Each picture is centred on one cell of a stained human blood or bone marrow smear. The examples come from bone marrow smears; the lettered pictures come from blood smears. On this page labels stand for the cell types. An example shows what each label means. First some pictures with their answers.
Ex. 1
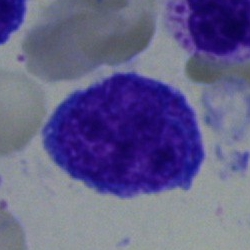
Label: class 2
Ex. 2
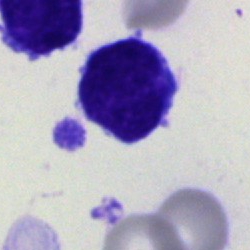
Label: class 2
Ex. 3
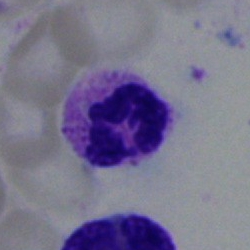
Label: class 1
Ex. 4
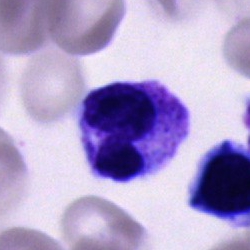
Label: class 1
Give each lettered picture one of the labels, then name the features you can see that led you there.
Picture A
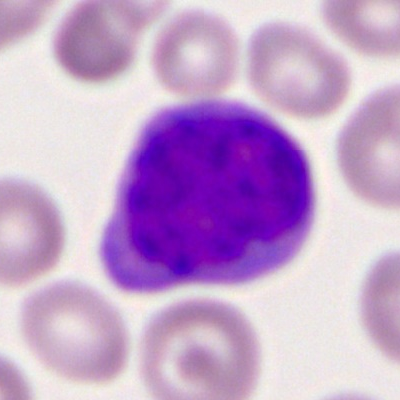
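class 2: The cytoplasm is scant and forms only a thin rim around most of the nucleus.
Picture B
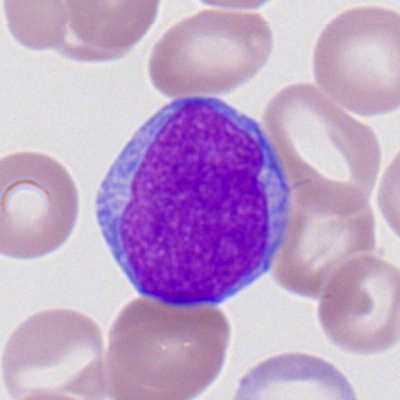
class 2: The nucleus is a single mass with a shallow notch on its right edge.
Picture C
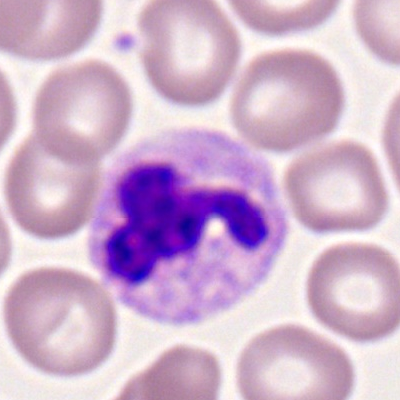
class 1: The nucleus is divided into several connected lobes.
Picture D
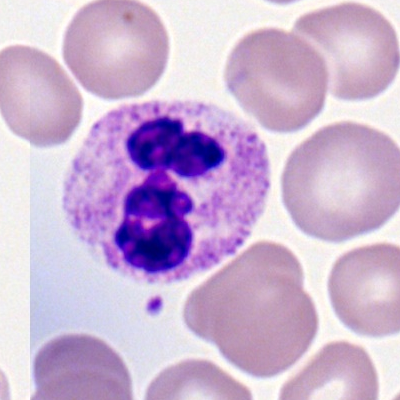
class 1: The cytoplasm is plentiful and pale pink.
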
